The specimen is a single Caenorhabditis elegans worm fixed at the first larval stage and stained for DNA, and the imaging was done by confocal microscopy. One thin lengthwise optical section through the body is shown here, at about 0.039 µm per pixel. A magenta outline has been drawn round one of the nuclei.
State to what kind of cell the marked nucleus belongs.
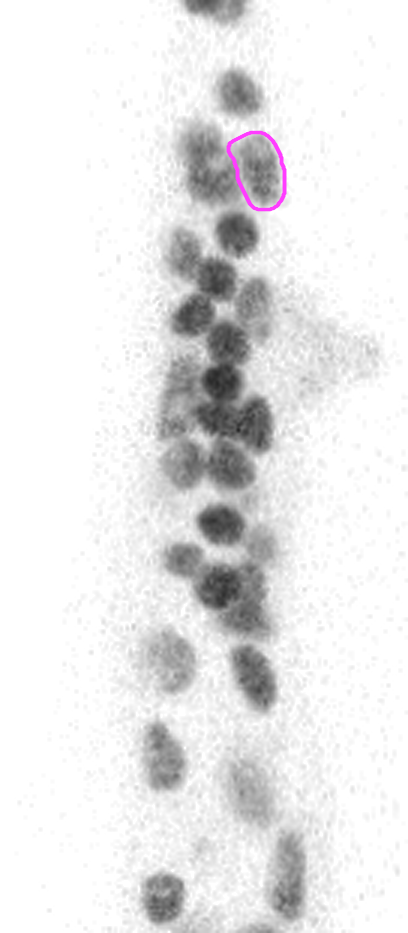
hypodermal cell (hyp)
